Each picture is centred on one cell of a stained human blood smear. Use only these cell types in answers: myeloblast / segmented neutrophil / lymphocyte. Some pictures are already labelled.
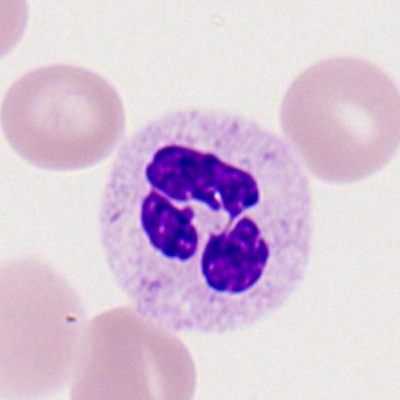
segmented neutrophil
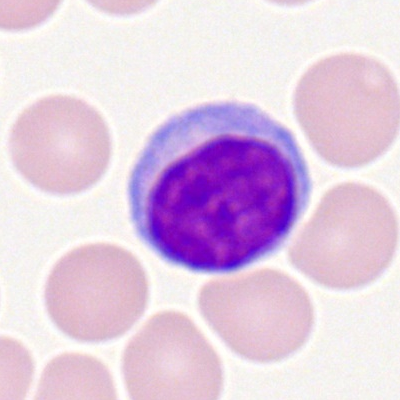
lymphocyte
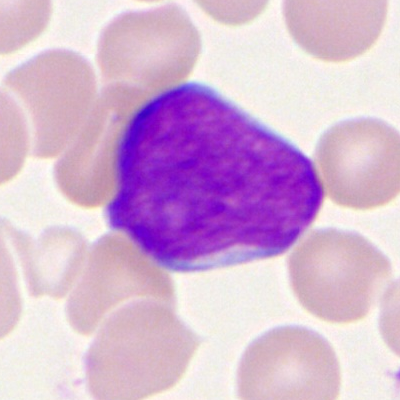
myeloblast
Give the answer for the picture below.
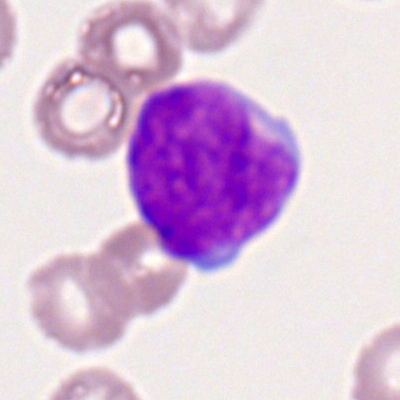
myeloblast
